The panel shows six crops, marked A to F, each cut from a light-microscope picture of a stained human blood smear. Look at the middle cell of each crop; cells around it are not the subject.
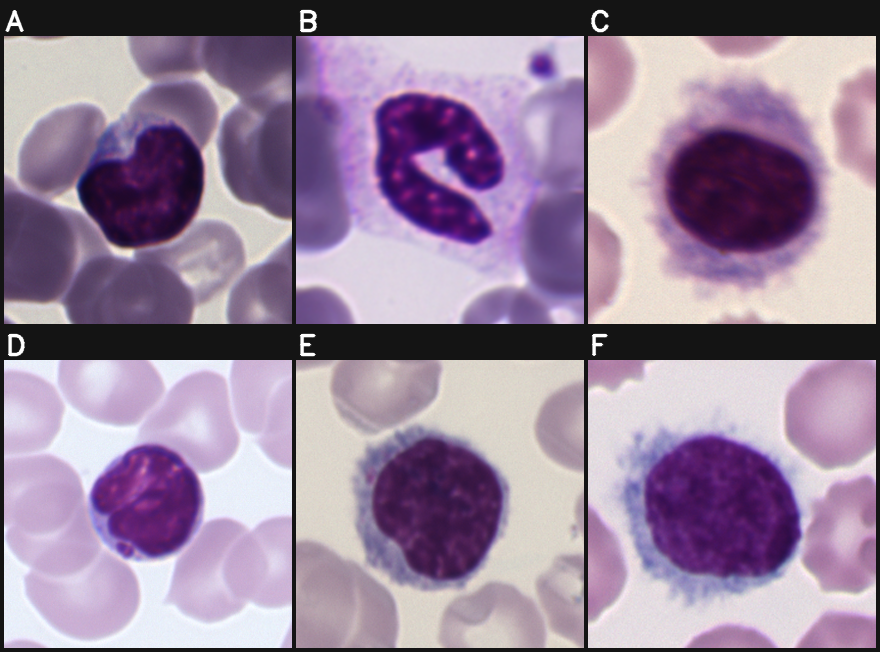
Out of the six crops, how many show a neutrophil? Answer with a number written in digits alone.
1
